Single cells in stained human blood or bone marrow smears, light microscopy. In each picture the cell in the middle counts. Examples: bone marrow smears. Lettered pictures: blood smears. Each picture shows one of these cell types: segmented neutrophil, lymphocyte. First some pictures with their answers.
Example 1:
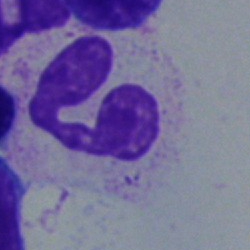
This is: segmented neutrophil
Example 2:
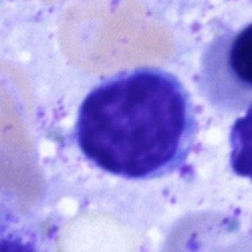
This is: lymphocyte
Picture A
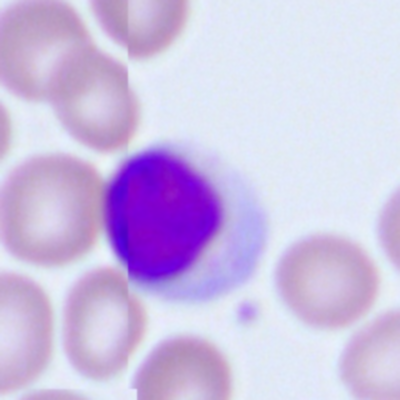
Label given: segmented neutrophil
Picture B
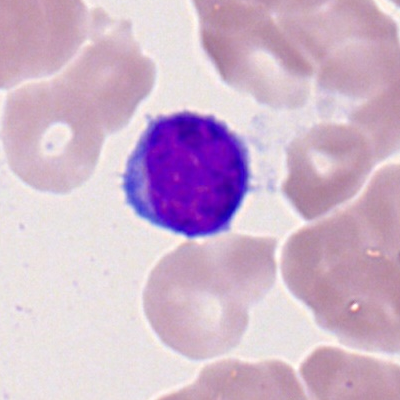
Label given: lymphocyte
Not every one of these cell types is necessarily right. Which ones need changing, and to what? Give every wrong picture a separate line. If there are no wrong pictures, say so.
Wrong: A (segmented neutrophil); correct: lymphocyte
